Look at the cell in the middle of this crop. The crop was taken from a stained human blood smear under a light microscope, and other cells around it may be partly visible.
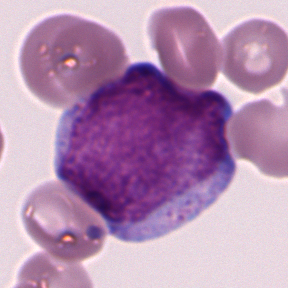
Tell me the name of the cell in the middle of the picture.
atypical promyelocyte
